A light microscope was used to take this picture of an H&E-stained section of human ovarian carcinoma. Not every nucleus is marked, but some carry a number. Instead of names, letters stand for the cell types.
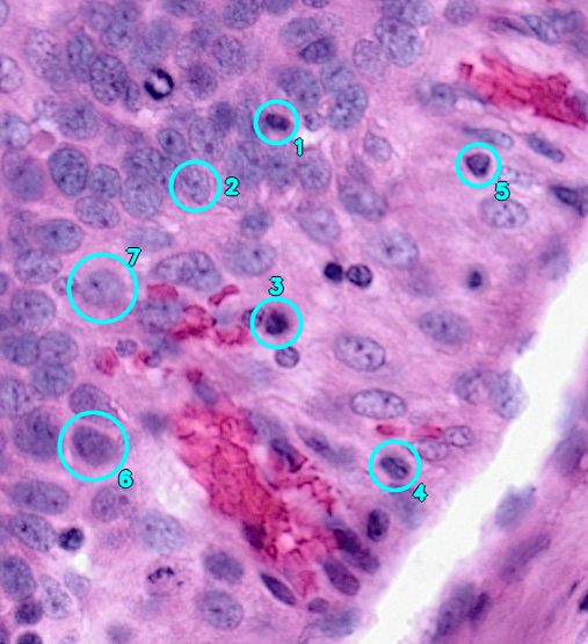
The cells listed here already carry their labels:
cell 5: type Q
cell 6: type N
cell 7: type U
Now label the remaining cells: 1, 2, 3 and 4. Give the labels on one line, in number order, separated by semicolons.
type Q; type N; type Q; type Q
